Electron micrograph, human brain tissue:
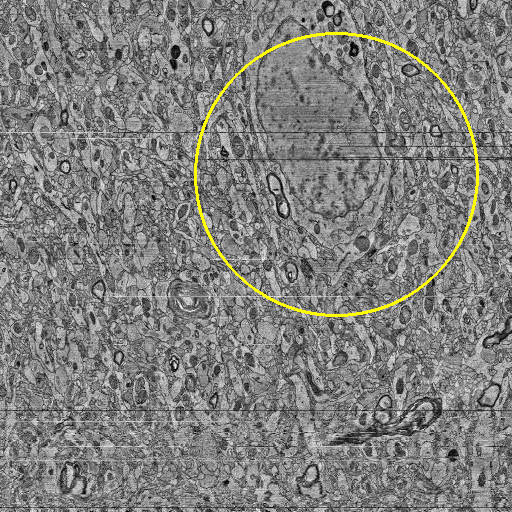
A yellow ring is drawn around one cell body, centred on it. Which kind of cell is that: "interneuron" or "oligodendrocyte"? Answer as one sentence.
It is an interneuron at the centre of the ring.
